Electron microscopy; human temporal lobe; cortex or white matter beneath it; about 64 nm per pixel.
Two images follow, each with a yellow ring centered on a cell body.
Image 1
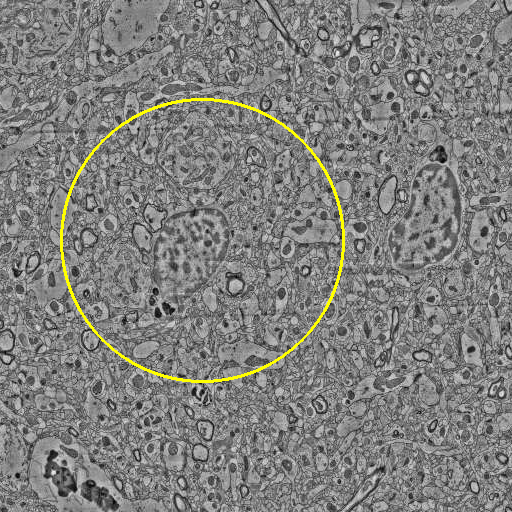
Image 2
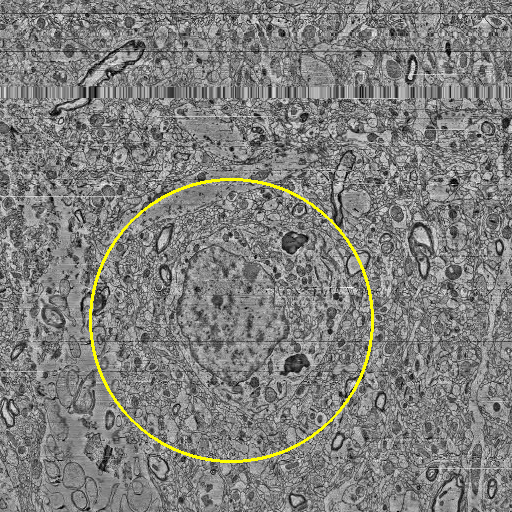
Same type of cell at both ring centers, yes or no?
no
